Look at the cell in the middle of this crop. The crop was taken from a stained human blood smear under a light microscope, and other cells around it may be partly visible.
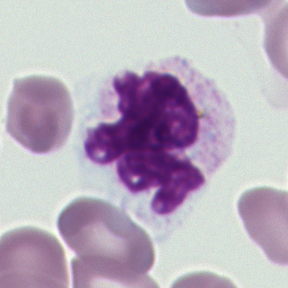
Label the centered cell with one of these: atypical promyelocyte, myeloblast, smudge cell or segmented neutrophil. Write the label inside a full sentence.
The cell featured at the centre of this crop is a segmented neutrophil.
